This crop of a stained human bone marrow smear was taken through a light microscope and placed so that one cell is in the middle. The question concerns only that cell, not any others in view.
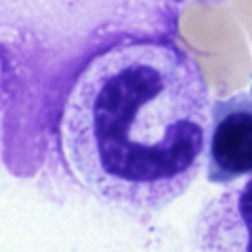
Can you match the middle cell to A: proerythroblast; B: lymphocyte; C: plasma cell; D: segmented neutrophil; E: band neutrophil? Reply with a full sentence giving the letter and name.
The cell centered in the crop is a band neutrophil, making option E the correct pick.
